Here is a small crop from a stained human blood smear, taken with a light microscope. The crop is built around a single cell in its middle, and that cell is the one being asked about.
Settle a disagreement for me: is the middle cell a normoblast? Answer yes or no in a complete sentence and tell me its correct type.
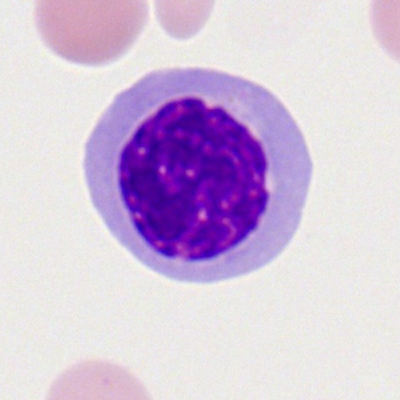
Yes, the cell at the heart of the crop is a normoblast.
